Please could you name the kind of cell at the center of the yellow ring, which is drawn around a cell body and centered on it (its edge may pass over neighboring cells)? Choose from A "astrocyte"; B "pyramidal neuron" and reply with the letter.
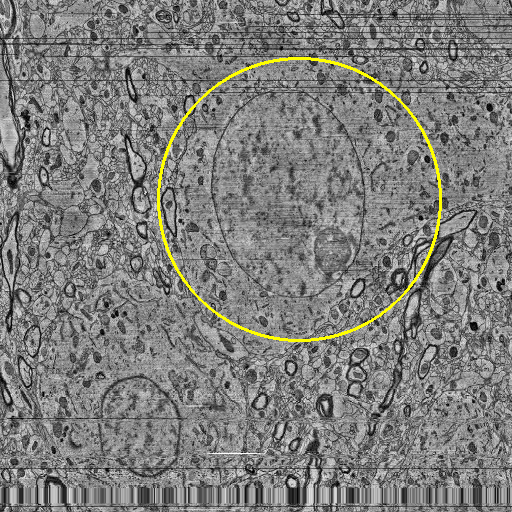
B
